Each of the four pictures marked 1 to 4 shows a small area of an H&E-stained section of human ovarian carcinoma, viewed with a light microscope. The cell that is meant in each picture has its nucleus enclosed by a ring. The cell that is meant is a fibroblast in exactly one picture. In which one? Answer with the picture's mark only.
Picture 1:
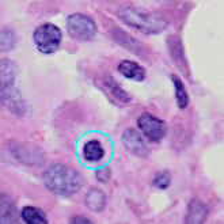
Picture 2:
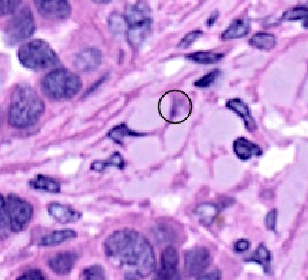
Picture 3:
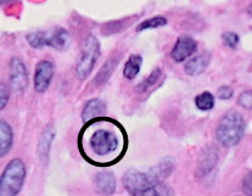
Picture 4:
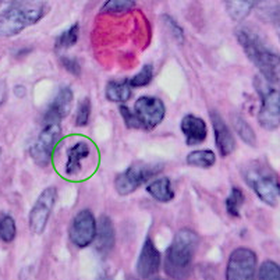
2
